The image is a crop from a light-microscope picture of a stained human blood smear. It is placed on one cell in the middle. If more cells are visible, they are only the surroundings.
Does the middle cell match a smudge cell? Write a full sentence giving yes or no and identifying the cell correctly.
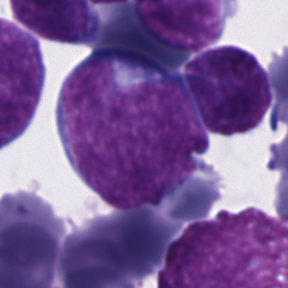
No, it is not a smudge cell that sits at the centre but a myeloblast.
